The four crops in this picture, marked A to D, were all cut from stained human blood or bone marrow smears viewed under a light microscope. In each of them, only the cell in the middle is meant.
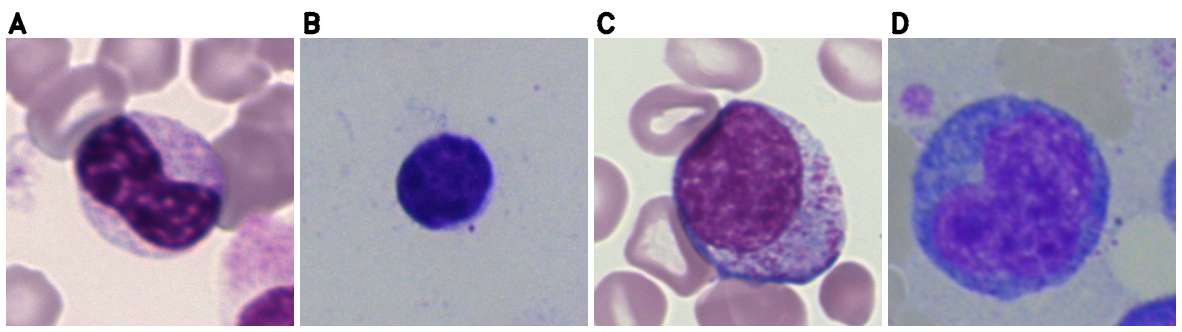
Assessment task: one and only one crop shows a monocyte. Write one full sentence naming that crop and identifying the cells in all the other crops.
Going crop by crop, crop D is a monocyte, while crop A is a band neutrophil, crop B is a lymphocyte and crop C is a promyelocyte.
